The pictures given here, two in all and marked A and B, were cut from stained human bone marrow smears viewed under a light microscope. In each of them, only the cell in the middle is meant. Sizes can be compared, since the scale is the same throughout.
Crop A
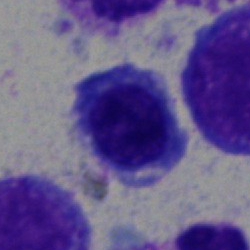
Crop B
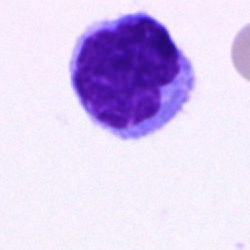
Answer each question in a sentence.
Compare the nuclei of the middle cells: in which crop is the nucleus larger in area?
The nucleus in crop B is larger, with about 1.5 times the area of the one in crop A.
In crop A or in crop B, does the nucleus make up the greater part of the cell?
Of the two, the nucleus in crop B makes up the greater part of its cell.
